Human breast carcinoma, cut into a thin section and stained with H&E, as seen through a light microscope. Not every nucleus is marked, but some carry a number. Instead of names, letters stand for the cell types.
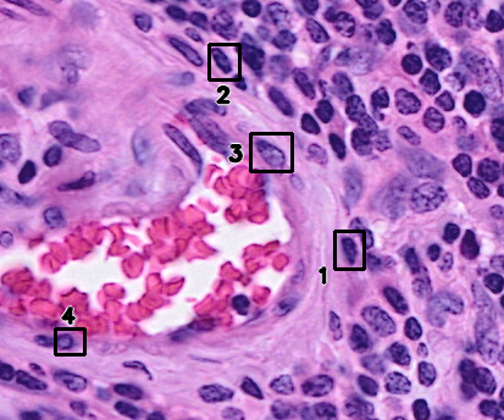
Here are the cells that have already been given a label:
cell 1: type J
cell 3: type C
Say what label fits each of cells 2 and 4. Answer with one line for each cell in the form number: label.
2: type J
4: type C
